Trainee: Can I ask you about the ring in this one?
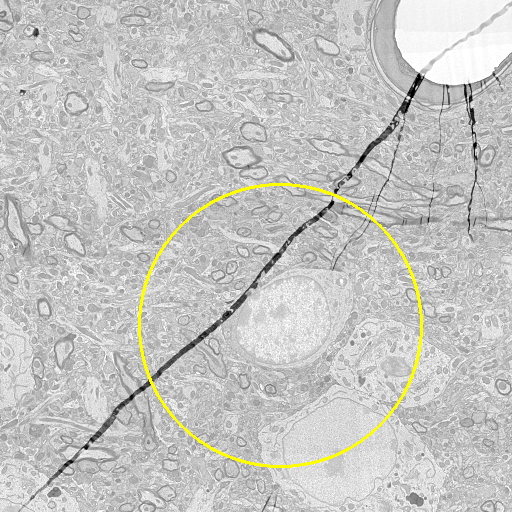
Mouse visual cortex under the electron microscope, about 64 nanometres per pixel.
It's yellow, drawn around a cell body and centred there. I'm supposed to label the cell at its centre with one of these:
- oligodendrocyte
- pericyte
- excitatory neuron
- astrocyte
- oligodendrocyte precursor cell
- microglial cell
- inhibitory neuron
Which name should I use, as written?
oligodendrocyte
